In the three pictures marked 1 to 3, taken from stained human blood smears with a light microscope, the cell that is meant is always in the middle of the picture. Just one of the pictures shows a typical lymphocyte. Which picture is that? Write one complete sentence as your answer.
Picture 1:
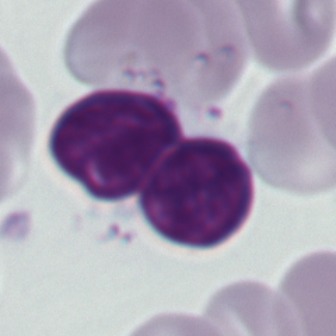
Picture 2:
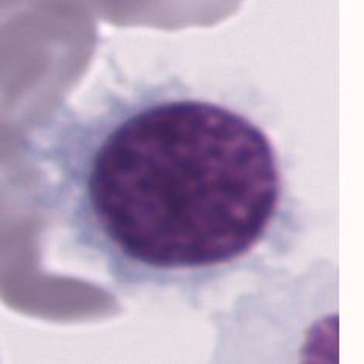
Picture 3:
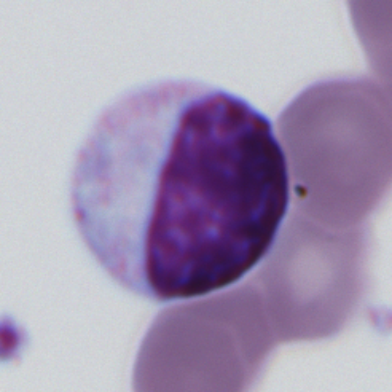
Picture 3 is the one that shows the typical lymphocyte.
